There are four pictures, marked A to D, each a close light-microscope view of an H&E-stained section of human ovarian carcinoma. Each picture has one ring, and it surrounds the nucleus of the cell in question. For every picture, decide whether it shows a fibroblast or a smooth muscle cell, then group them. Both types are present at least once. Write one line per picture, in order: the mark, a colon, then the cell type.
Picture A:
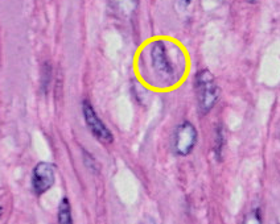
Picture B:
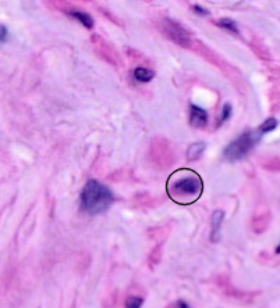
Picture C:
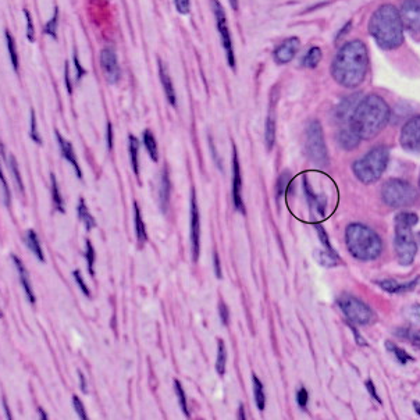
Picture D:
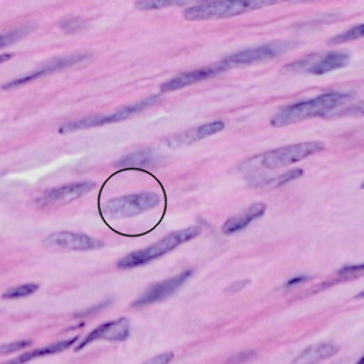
A: fibroblast
B: smooth muscle cell
C: fibroblast
D: smooth muscle cell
